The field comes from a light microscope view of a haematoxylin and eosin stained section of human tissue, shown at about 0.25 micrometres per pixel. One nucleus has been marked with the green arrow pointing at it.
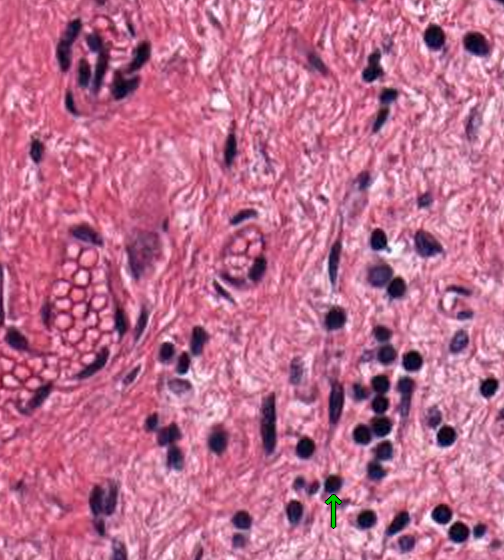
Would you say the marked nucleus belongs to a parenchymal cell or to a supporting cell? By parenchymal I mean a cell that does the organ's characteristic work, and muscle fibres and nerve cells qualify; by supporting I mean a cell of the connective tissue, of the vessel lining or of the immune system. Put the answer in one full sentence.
Lying in a supporting cell is the marked nucleus.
